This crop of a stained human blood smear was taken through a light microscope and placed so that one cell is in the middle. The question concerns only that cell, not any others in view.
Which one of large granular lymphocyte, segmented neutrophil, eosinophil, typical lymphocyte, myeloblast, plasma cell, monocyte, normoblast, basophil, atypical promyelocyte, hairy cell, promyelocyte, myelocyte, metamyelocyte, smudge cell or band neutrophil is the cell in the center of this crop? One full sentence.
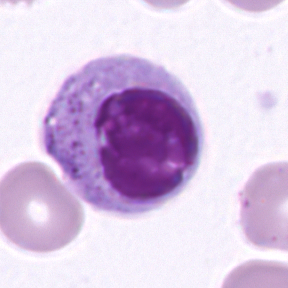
The middle cell in this particular crop is a plasma cell.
